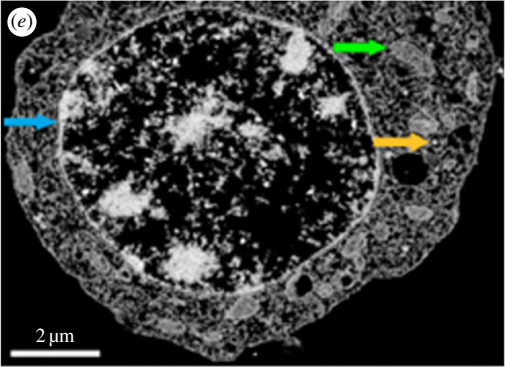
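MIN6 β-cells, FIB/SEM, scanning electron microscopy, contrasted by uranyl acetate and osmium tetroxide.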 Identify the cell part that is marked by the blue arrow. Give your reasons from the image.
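The arrow touches a thin bright line around a large round compartment. The compartment holds dark areas and bright clumps unlike the cytoplasm. The answer: nuclear envelope.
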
